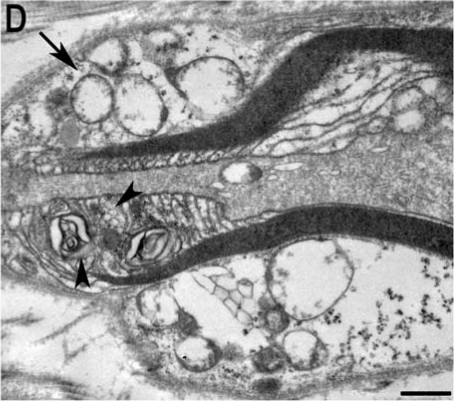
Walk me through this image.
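This is a myelinated nerve fiber at the node of Ranvier. The Schwann cell cytoplasm that surrounds these ends is not normal. It holds many large round, membrane-bound vacuoles with pale interiors and fine granular contents, both above and below the sheaths. Close to one tapering sheath lie bodies with concentric whorls of membrane and bodies filled with small vesicles. These are lamellar and multivesicular bodies. Together they point to a Schwann cell crowded with inclusions next to the node.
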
